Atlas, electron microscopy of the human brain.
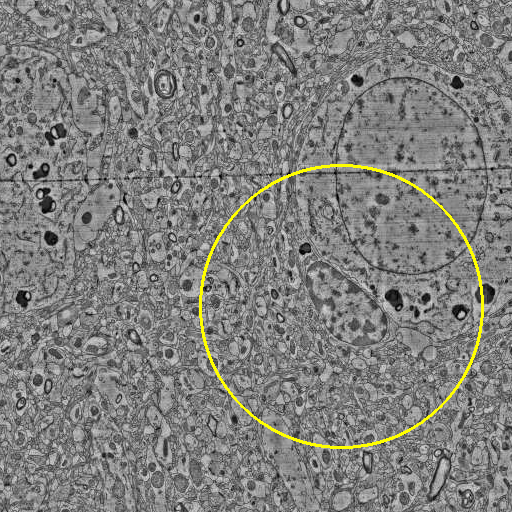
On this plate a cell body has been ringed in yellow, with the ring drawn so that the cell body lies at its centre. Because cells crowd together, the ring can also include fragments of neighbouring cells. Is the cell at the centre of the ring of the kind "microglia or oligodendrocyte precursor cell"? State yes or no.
Yes, it is of that kind.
